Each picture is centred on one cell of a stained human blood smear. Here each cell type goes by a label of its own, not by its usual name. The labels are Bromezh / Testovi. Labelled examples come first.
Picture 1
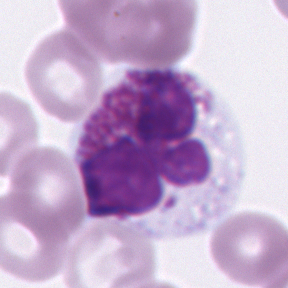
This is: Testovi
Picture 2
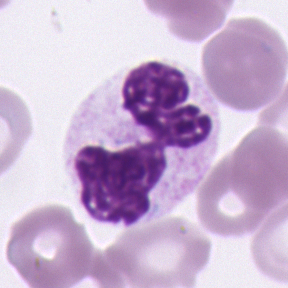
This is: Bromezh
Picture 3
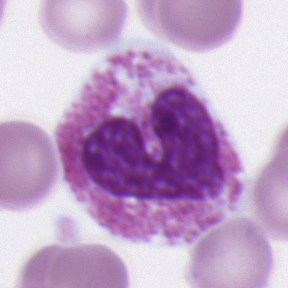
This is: Testovi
